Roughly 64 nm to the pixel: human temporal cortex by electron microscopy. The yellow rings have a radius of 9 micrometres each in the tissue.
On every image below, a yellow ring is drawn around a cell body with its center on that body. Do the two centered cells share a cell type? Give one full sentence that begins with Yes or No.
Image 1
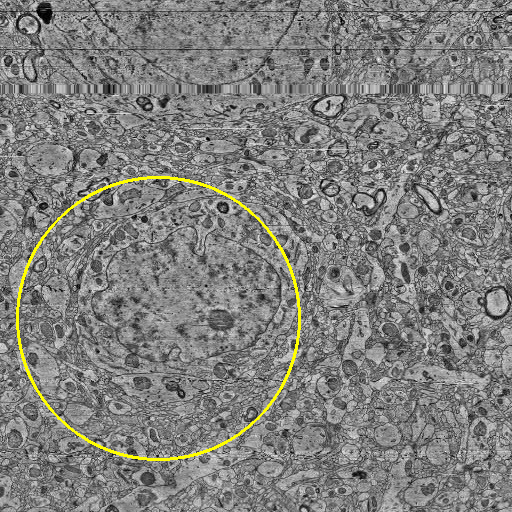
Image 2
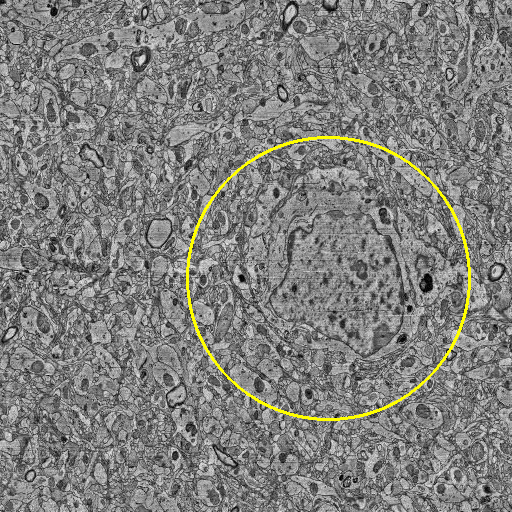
No, the centered cells in the two images are of two separate cell types.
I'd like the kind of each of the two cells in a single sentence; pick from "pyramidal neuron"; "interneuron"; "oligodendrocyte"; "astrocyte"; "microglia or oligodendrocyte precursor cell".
The first ring marks an interneuron, and the second ring marks a microglial cell or oligodendrocyte precursor cell.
